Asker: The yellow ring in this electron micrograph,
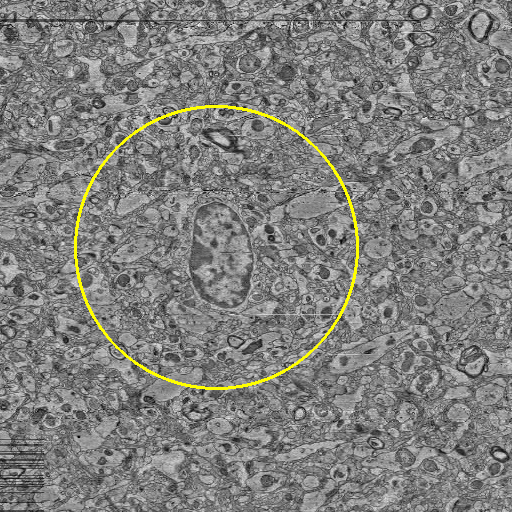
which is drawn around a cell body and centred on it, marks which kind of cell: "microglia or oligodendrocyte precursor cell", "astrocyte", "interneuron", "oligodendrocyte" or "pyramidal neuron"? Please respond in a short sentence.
The marked cell is a microglial cell or oligodendrocyte precursor cell.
